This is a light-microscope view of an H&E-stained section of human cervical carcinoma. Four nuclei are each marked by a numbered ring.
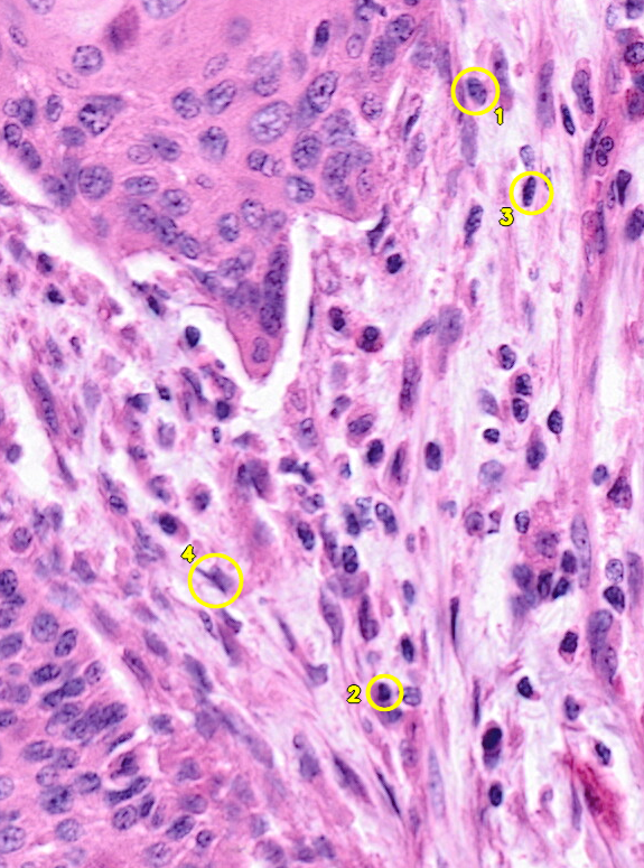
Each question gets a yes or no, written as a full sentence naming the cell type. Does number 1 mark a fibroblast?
No, the cell with the number 1 is a lymphocyte, not a fibroblast.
